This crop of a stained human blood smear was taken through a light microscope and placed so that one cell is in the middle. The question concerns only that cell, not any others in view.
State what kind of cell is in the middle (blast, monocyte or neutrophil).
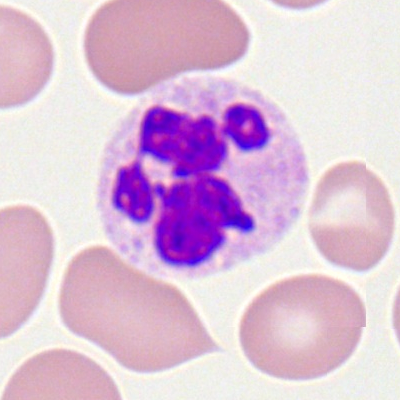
neutrophil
